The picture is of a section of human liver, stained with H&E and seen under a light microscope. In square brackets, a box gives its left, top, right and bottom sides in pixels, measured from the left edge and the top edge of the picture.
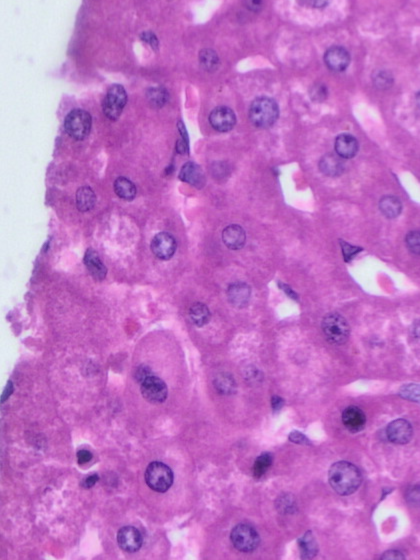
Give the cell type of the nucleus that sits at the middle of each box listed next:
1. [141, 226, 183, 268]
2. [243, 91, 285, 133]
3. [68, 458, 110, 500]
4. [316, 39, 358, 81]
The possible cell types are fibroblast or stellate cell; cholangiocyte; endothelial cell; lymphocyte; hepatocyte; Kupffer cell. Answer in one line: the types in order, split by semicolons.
hepatocyte; hepatocyte; fibroblast or stellate cell; hepatocyte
